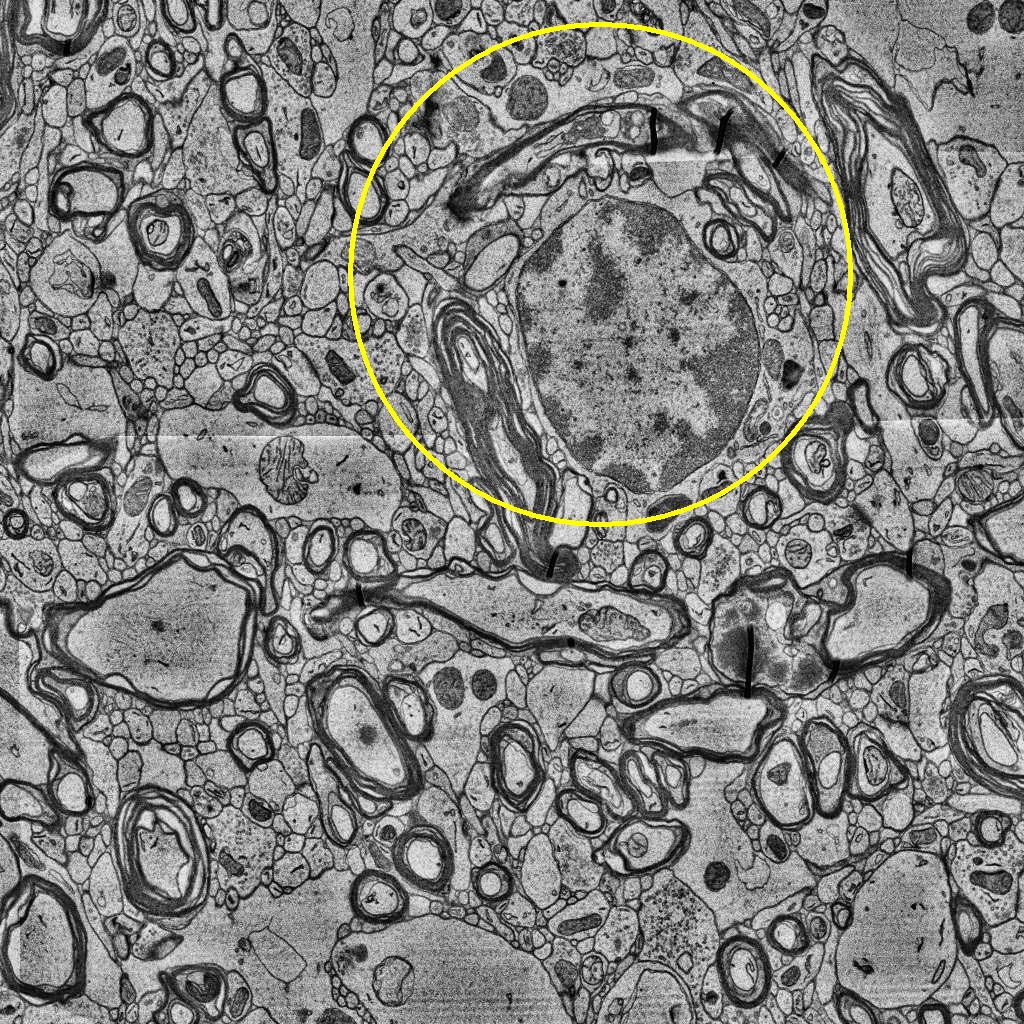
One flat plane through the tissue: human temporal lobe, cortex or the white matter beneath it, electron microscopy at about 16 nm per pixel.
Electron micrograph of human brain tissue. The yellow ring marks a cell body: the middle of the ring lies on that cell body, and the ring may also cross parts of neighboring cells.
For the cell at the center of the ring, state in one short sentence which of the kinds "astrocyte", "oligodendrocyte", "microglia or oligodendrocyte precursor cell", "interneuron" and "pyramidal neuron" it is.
This ring's center lies on a microglial cell or oligodendrocyte precursor cell.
